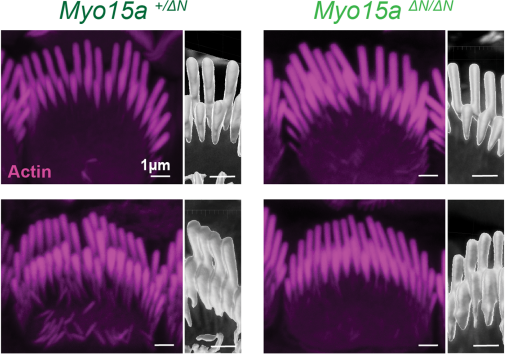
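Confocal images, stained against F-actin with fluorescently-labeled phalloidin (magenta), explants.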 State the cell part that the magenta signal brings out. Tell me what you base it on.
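Stereocilia. Many slender rod-like projections glow magenta. The rods stand side by side in curved rows.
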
